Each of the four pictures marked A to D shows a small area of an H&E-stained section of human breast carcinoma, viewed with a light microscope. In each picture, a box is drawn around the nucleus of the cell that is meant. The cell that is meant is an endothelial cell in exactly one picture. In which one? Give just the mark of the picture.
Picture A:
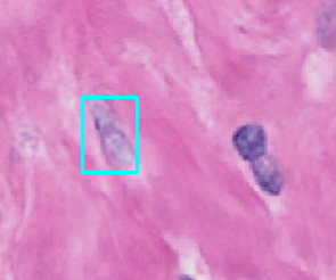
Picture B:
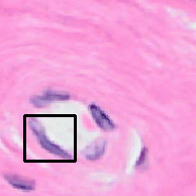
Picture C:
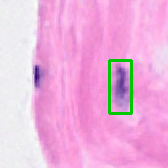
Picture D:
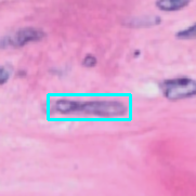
B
